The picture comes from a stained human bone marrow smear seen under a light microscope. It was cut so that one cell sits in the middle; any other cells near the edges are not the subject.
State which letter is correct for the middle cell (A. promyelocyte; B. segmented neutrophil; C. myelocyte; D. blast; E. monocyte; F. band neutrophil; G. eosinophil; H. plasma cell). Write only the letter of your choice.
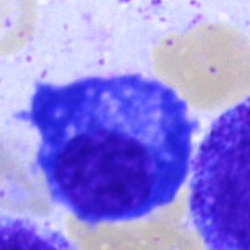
H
